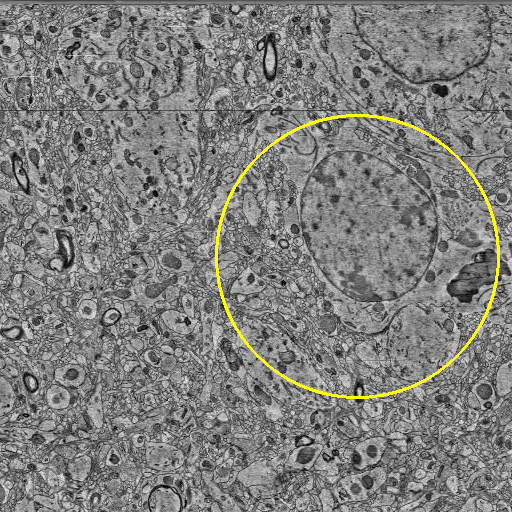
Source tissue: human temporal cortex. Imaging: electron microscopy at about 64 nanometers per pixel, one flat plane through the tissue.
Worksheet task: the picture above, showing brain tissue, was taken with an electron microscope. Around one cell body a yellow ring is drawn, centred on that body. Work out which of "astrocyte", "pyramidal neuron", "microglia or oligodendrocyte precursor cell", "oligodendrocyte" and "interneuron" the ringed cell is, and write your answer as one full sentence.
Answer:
It is an astrocyte whose cell body lies at the centre of the yellow ring.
